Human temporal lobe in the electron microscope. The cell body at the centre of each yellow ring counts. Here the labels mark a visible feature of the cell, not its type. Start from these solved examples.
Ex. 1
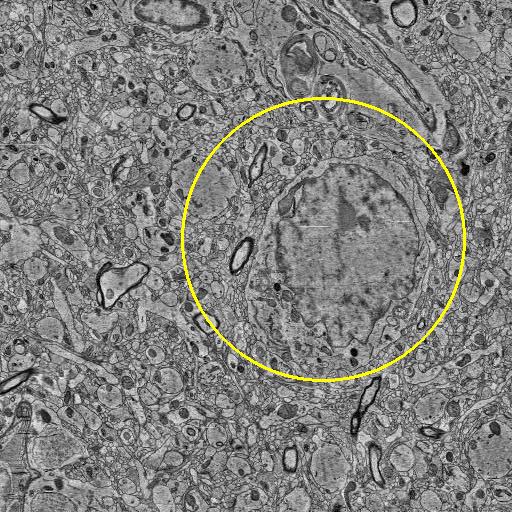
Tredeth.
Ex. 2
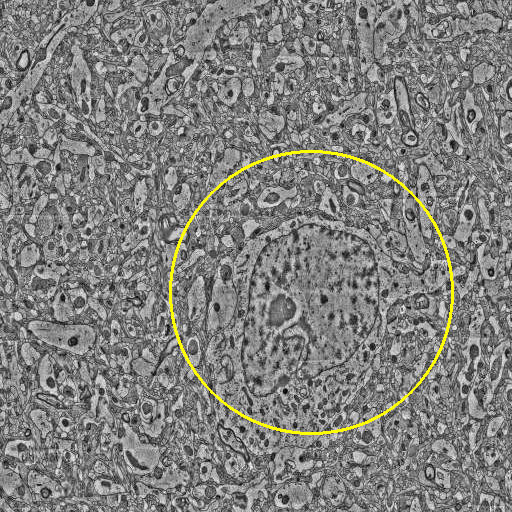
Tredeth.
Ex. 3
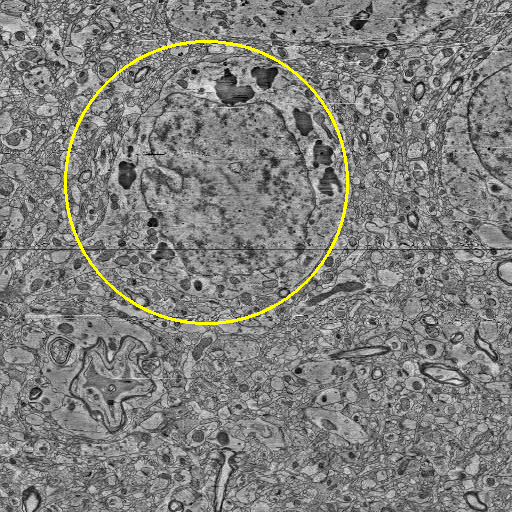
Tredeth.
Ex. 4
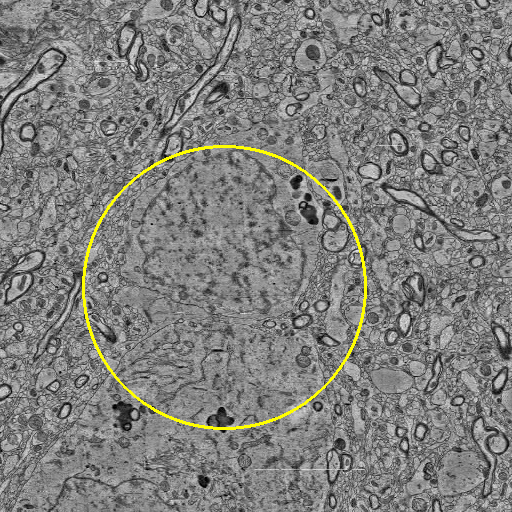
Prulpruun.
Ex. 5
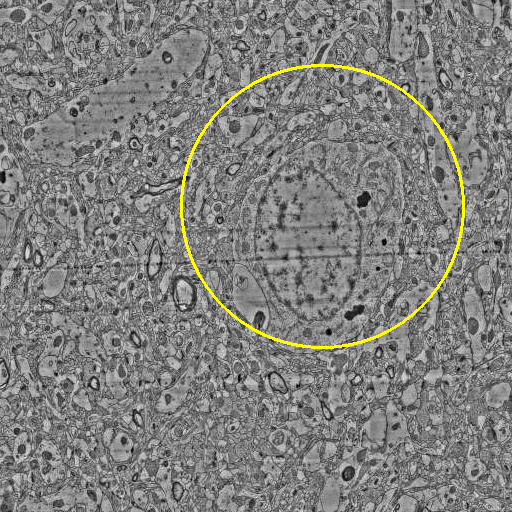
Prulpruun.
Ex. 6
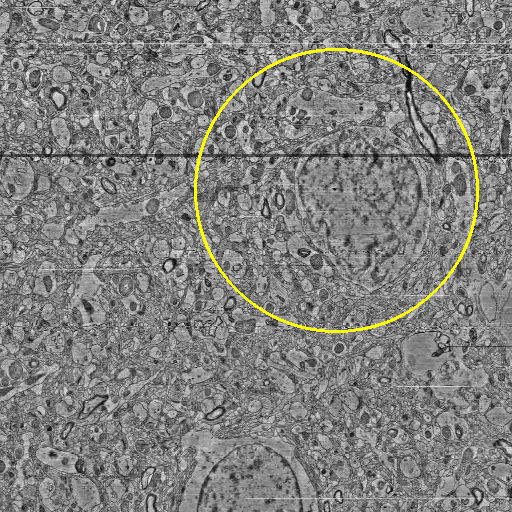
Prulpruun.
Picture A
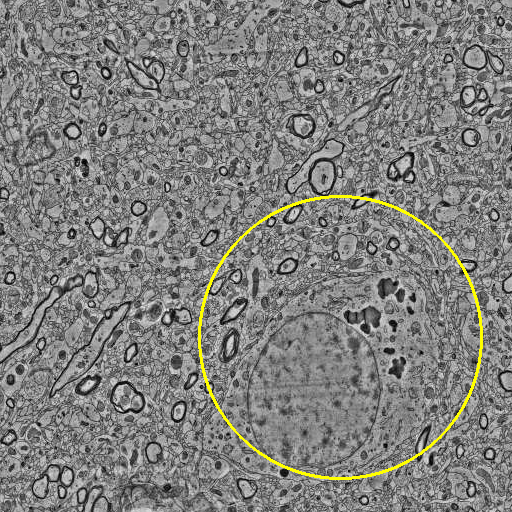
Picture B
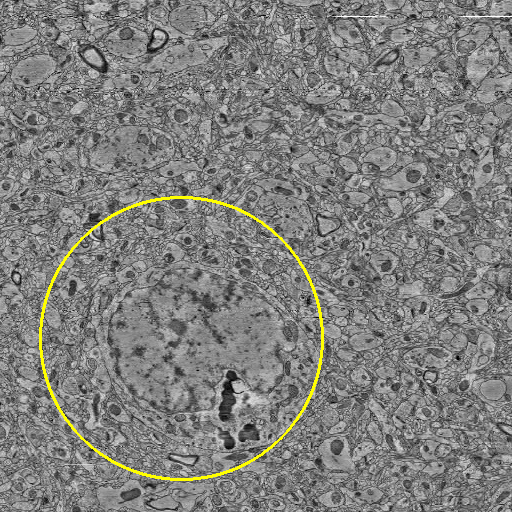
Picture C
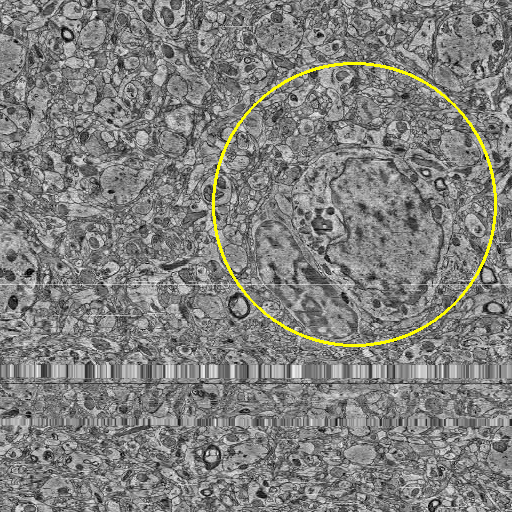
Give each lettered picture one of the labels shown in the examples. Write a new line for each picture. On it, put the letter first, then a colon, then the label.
A: Prulpruun.
B: Prulpruun.
C: Tredeth.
